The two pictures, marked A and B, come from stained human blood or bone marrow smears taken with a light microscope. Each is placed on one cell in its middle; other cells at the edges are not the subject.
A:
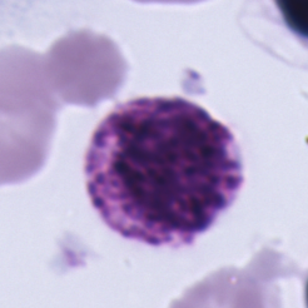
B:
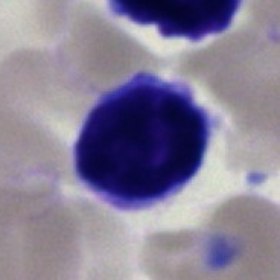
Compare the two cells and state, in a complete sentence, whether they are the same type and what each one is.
No, crop A shows a basophil, with a lymphocyte shown in crop B.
